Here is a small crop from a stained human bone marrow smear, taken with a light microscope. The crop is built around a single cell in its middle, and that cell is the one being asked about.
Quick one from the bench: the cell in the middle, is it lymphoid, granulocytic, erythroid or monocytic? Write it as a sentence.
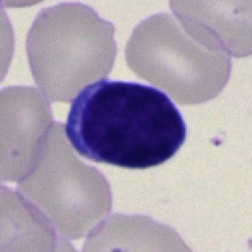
Assigned to the lymphoid lineage is the cell at the center.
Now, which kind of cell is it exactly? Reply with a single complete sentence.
The cell positioned in the middle of the field is a lymphocyte.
